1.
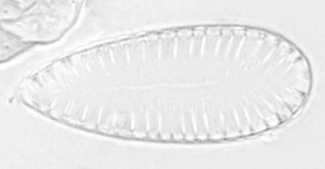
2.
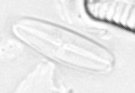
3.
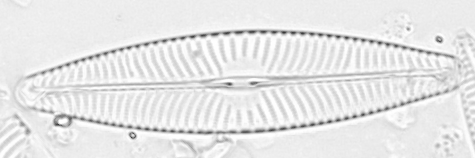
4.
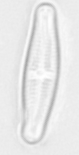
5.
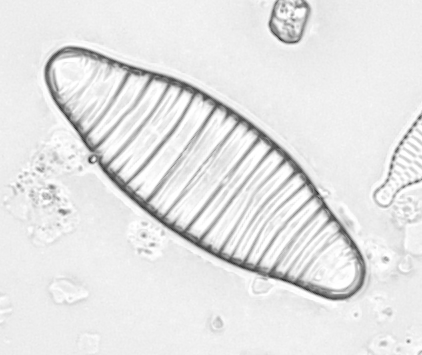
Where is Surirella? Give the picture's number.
1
